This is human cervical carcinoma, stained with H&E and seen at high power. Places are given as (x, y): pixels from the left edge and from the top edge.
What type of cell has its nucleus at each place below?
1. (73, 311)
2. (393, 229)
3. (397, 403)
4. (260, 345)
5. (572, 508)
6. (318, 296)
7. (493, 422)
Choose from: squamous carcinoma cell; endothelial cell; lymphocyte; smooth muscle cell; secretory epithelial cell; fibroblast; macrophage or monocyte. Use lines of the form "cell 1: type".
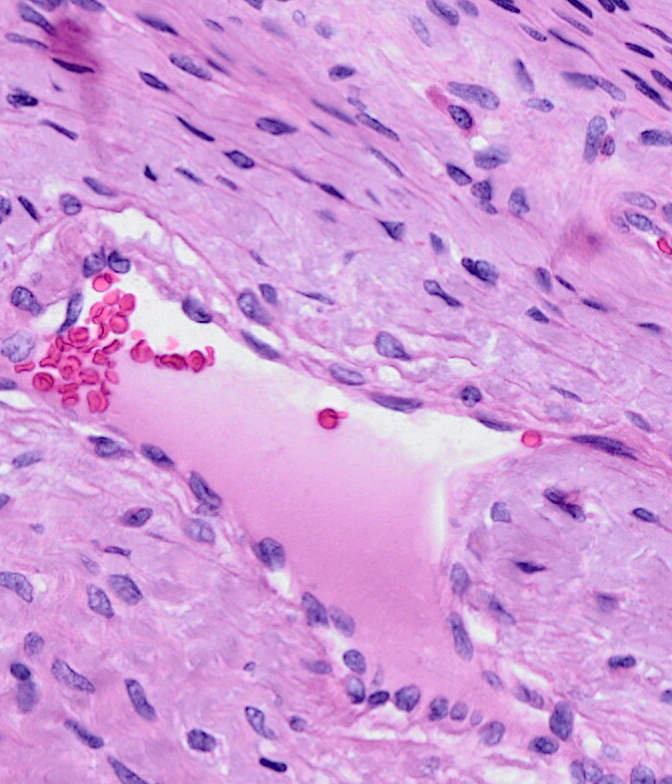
cell 1: endothelial cell
cell 2: fibroblast
cell 3: endothelial cell
cell 4: endothelial cell
cell 5: macrophage or monocyte
cell 6: fibroblast
cell 7: endothelial cell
